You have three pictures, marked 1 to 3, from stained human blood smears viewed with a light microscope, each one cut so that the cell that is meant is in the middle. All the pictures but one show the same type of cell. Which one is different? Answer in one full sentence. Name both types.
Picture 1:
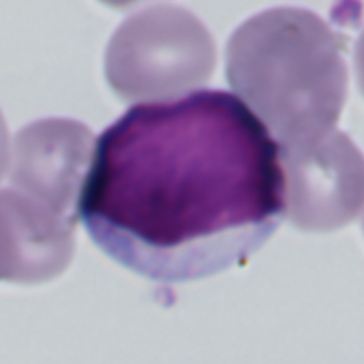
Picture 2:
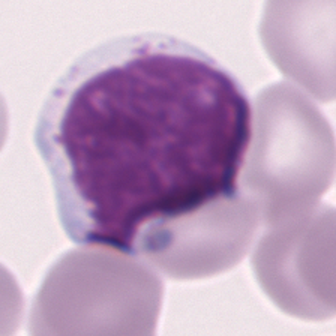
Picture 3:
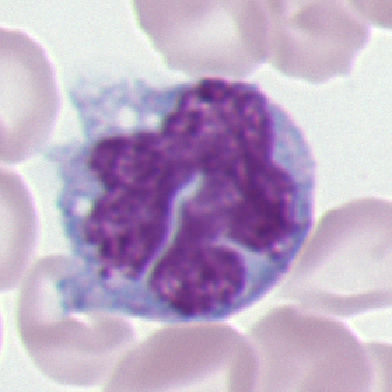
Picture 3 is the odd one out: it shows a monocyte, while the others show large granular lymphocytes.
